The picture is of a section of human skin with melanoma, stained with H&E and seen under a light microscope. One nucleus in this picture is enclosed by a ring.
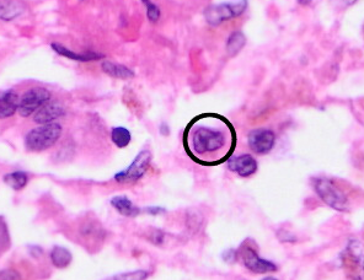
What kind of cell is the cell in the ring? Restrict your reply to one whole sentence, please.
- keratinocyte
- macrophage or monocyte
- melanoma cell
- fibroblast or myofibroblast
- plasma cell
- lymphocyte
For cell typing purposes, the cell in the ring is a macrophage or monocyte.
